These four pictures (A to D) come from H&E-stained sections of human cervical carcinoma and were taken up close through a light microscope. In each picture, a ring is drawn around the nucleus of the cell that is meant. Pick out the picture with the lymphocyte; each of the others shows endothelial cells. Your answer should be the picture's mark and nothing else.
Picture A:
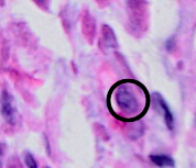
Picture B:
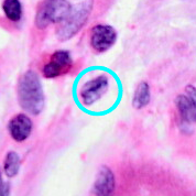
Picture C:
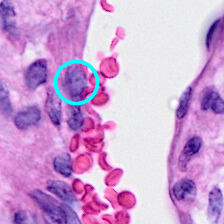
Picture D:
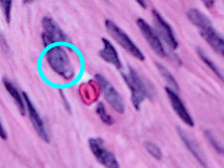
B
